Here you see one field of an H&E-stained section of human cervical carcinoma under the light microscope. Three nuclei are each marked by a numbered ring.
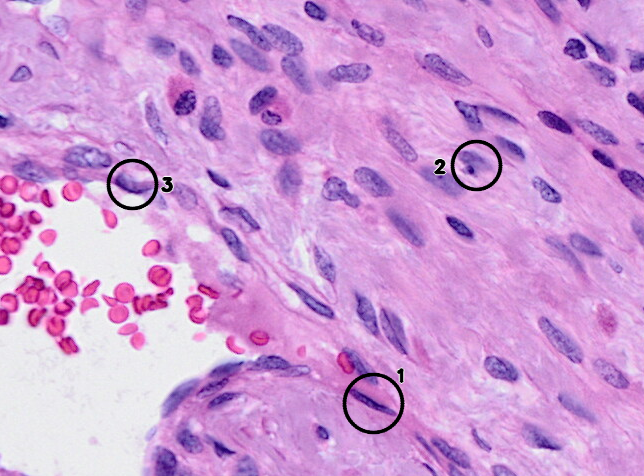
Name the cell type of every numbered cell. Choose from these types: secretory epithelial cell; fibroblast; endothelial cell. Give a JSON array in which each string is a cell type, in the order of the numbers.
["endothelial cell", "fibroblast", "endothelial cell"]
